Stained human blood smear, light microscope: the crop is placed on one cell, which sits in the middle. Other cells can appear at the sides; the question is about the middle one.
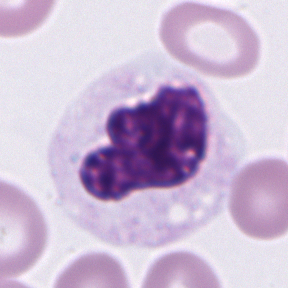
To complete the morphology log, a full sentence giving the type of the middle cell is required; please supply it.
The middle of this crop is occupied by a segmented neutrophil.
